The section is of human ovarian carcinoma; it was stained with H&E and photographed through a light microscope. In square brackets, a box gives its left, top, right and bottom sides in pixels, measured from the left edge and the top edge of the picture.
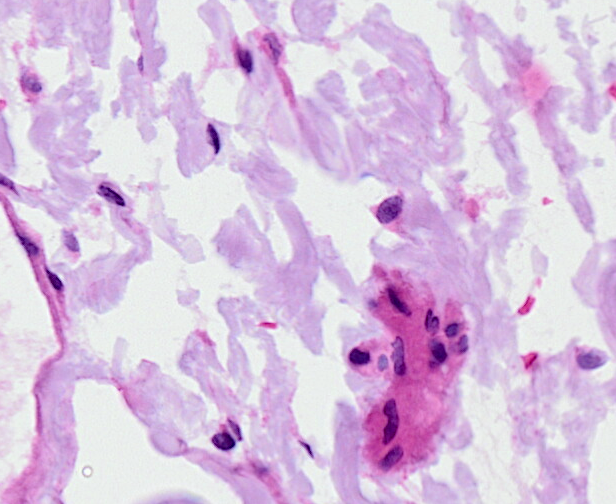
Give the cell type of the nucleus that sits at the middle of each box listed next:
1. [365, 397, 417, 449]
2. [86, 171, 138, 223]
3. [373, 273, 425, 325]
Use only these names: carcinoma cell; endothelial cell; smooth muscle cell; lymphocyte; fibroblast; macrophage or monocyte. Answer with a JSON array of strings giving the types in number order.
["smooth muscle cell", "fibroblast", "smooth muscle cell"]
